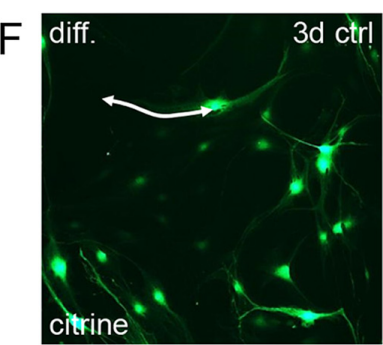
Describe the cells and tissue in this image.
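The cells lie scattered in a loose monolayer. The processes are slender, faintly fluorescent and taper away from the soma; several run long distances and contact processes of neighbouring cells, forming a sparse network in the lower right. Some bodies appear rounded and dim with short processes. A double-headed arrow at the upper left spans one long process stretching out from its cell body.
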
